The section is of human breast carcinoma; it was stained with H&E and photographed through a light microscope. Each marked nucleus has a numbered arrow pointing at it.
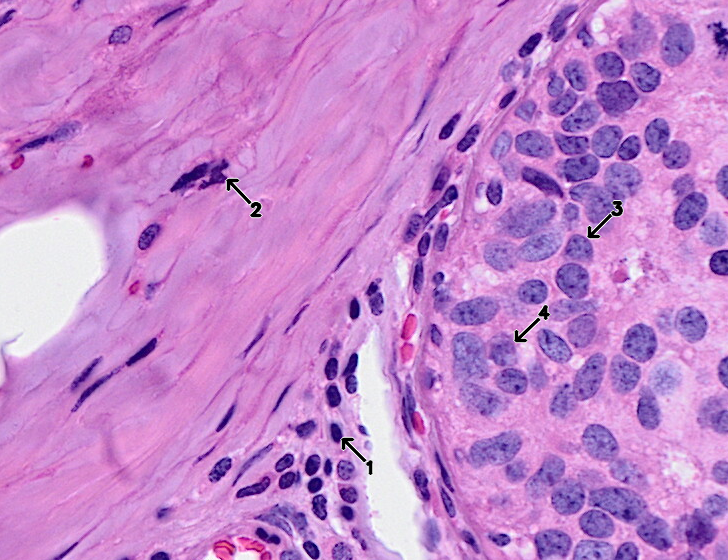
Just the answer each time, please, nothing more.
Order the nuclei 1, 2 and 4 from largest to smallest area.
4, 2, 1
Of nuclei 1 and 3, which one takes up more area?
3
